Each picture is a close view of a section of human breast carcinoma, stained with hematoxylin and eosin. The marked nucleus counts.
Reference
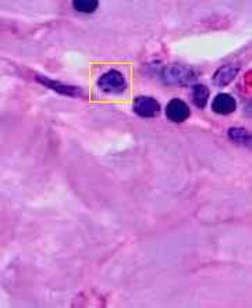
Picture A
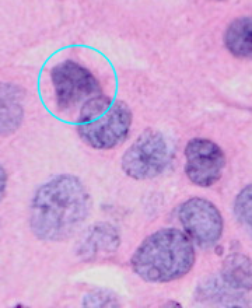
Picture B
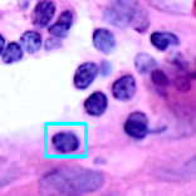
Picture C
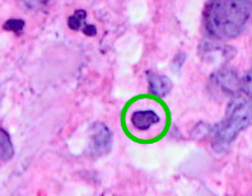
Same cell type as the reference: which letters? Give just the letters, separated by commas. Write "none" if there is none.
B, C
